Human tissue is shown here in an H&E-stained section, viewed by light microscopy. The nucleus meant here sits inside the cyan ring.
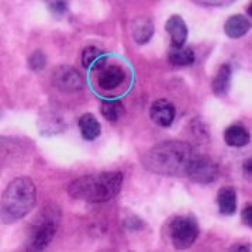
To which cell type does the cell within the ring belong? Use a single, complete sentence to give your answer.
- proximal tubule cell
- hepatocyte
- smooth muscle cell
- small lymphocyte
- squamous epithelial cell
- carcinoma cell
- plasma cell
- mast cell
Cytologically, the cell within the ring is to be regarded as a plasma cell.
